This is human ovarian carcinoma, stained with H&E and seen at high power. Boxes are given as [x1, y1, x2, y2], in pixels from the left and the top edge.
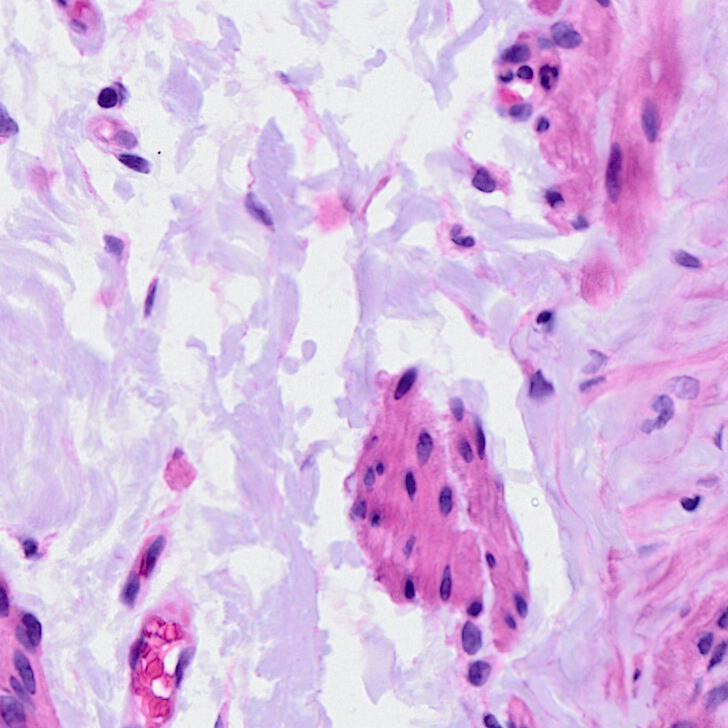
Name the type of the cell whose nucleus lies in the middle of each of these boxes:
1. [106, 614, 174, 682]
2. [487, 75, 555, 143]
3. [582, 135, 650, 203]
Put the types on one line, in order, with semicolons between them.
endothelial cell; endothelial cell; smooth muscle cell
